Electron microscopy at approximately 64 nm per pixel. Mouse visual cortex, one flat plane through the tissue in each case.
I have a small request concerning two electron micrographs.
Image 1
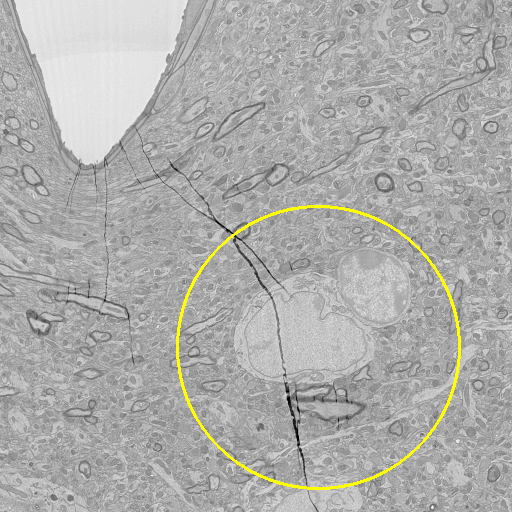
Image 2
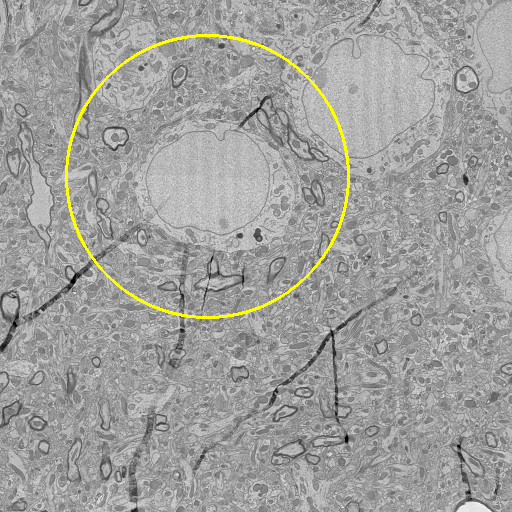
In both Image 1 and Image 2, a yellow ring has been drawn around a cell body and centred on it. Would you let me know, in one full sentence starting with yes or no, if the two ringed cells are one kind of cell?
Yes, the cells ringed in Image 1 and Image 2 are one kind of cell.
